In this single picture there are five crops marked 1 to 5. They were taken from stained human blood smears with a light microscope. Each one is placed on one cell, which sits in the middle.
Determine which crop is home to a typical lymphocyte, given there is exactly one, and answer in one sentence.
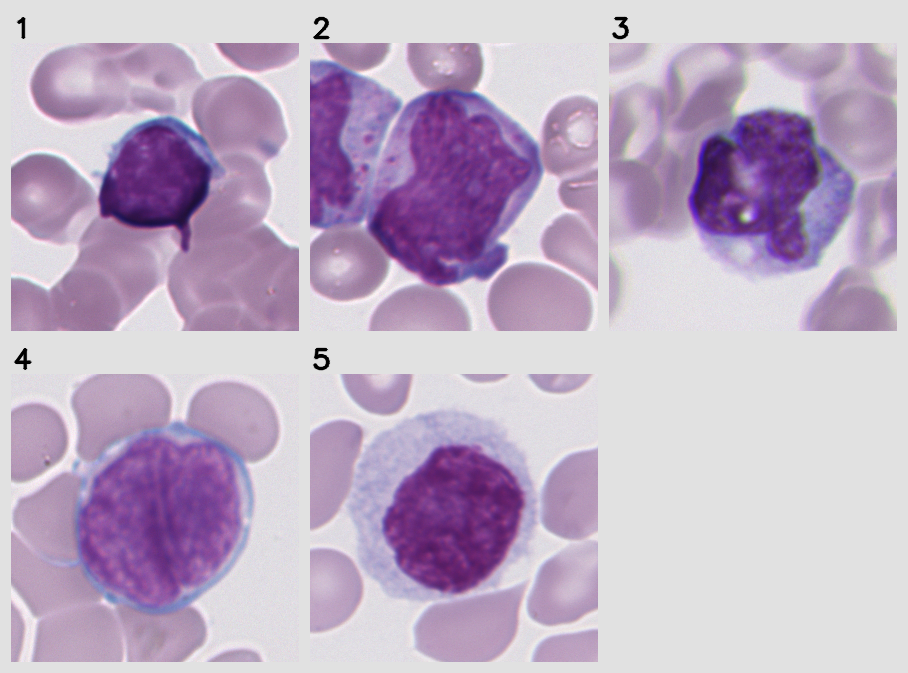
Among the crops provided, a typical lymphocyte occupies the center of crop 1.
